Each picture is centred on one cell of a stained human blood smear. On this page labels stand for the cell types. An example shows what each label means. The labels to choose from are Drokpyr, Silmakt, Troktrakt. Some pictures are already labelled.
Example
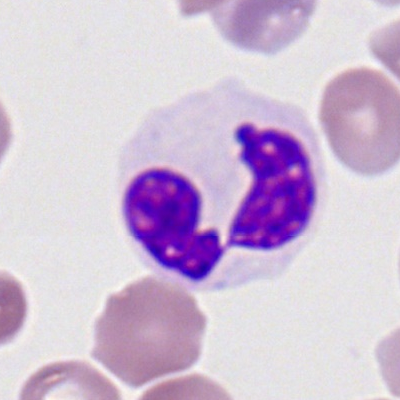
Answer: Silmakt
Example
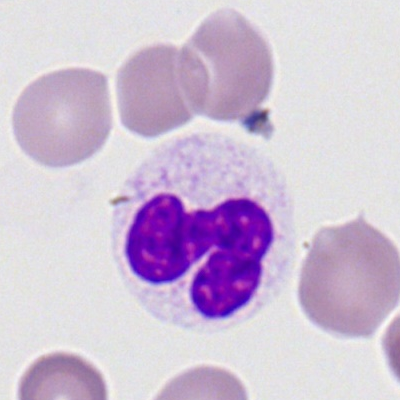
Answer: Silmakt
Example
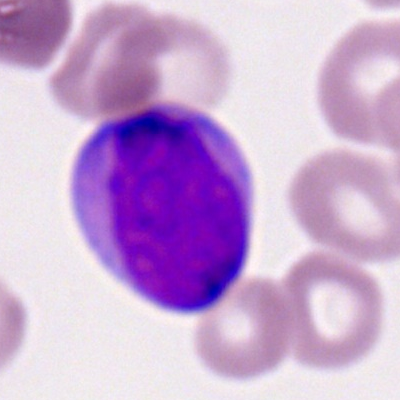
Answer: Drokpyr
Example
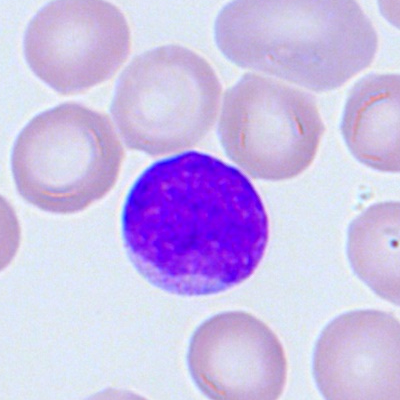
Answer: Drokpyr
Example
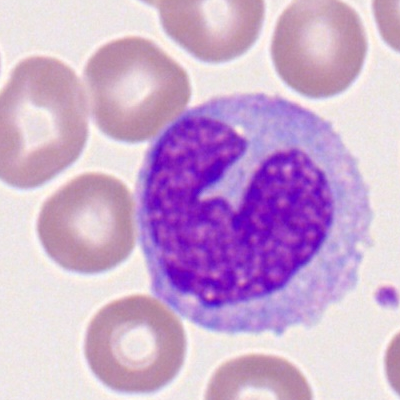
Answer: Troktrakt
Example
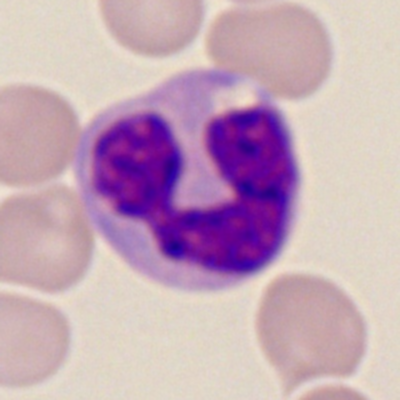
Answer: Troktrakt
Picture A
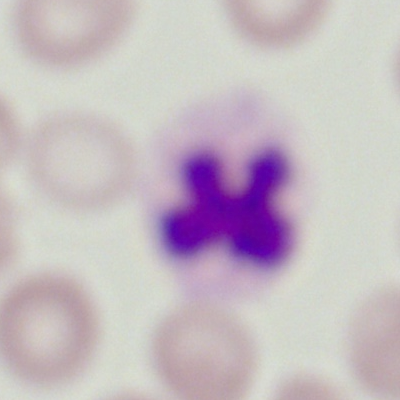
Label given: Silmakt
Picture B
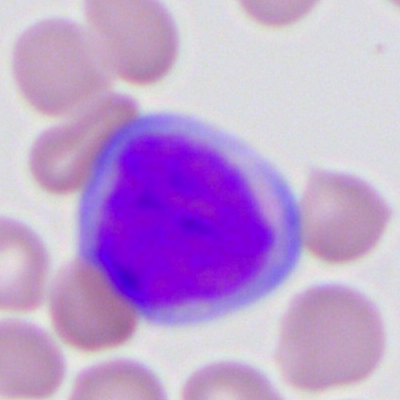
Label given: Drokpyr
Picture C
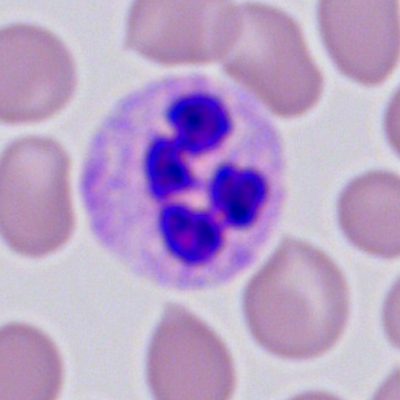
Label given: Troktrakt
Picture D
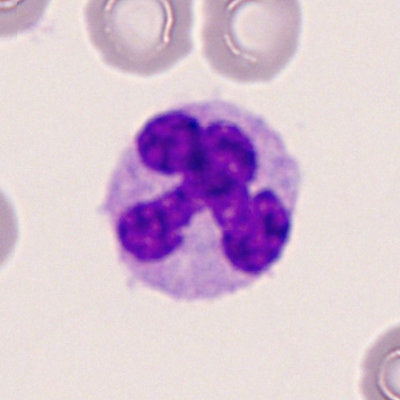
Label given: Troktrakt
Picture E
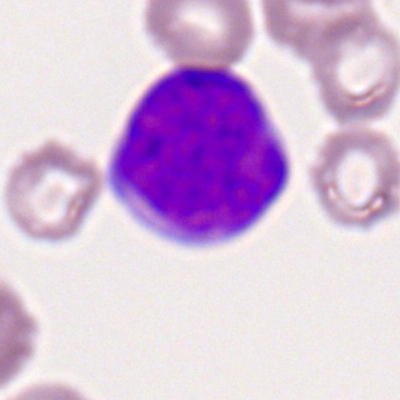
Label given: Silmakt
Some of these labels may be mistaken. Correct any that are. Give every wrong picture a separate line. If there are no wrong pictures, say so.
C: not Troktrakt but Silmakt
E: not Silmakt but Drokpyr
